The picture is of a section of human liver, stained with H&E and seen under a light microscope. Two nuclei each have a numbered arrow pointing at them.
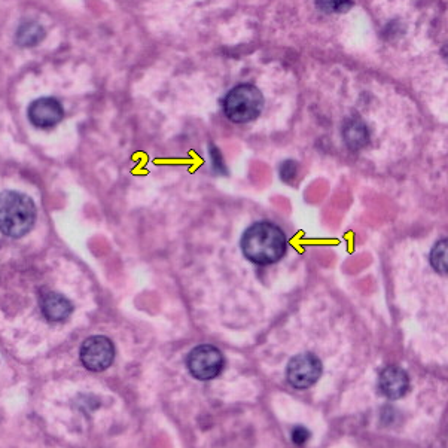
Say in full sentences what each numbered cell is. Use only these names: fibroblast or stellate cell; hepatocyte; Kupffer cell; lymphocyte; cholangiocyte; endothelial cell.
Cell 1 is a hepatocyte. Cell 2 is an endothelial cell.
